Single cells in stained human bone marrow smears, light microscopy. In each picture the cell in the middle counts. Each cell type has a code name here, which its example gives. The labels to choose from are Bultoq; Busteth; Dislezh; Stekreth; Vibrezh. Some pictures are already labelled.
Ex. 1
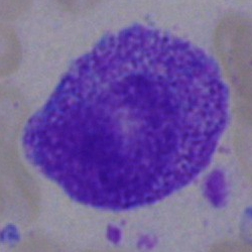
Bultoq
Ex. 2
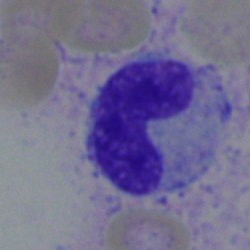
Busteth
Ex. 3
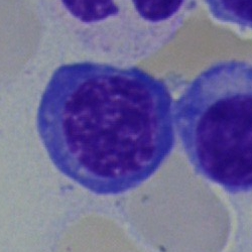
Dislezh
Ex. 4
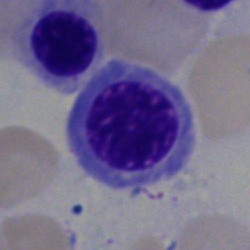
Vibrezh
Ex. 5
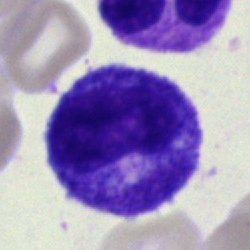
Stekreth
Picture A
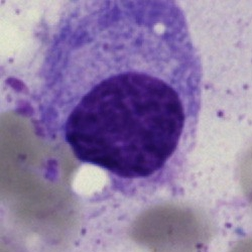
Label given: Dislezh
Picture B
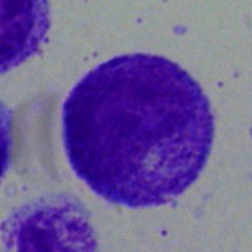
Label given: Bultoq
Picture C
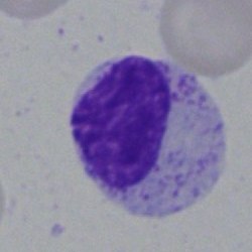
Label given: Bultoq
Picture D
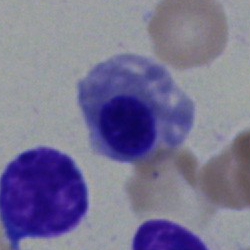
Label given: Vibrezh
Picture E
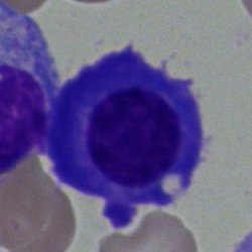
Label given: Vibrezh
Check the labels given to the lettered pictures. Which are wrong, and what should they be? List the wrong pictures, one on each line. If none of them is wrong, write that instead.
E is labelled Vibrezh; correct label: Dislezh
